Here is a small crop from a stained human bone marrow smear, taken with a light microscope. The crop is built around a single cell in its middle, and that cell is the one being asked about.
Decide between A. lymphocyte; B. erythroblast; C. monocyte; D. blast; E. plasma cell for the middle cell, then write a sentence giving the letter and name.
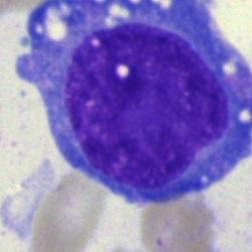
Option D is correct in naming the middle cell a blast.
